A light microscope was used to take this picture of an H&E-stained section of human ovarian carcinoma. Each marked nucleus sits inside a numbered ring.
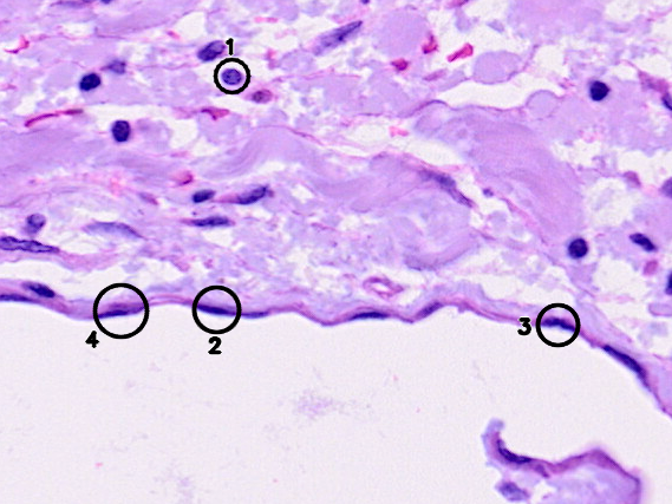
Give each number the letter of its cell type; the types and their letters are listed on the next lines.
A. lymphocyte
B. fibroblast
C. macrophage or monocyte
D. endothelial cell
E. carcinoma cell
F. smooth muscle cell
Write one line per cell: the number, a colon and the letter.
1: A
2: D
3: D
4: D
